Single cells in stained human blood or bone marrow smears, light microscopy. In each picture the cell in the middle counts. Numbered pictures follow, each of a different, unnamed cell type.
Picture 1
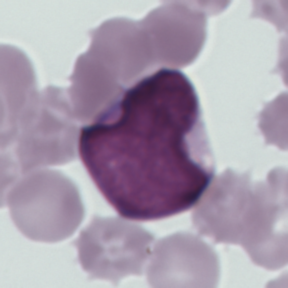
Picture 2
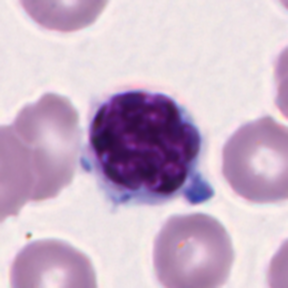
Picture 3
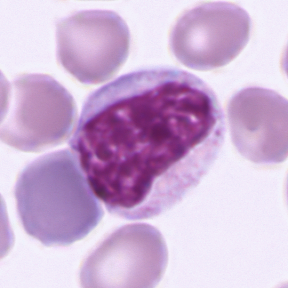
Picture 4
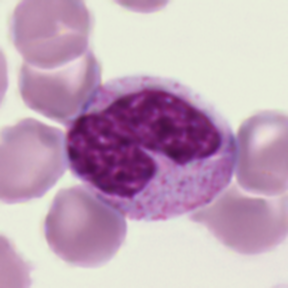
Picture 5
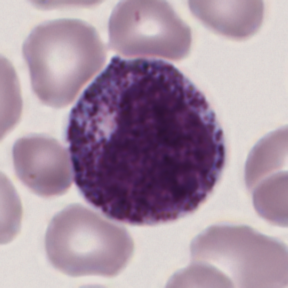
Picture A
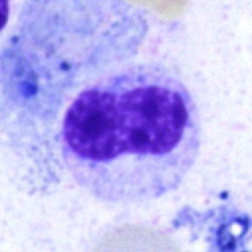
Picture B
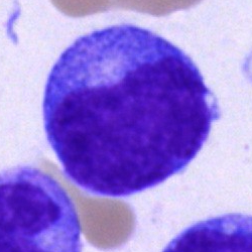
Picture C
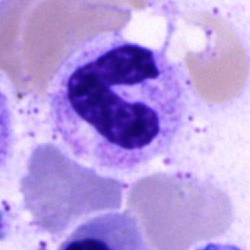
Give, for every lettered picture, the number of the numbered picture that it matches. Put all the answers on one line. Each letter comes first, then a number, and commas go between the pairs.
A 4, B 1, C 4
